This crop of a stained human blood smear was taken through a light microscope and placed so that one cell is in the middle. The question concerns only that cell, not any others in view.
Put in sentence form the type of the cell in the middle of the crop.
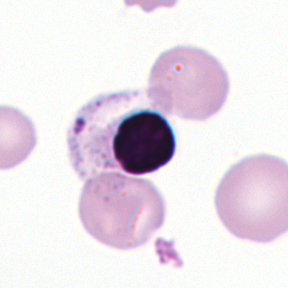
The cell marked by its central position in the crop is a normoblast.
